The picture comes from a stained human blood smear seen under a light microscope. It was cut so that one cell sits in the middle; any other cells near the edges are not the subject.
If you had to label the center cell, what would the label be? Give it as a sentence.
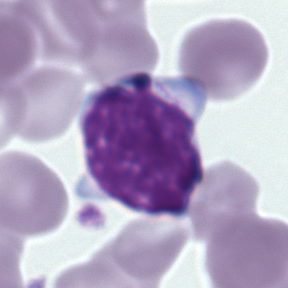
The cell sitting right in the middle is a large granular lymphocyte.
